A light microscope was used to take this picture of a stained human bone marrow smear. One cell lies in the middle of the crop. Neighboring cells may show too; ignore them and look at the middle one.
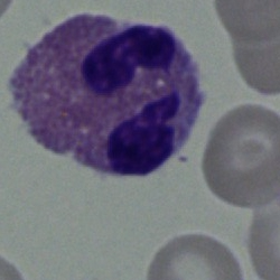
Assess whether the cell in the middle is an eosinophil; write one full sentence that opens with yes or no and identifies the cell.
Yes, the centred cell is categorised as an eosinophil.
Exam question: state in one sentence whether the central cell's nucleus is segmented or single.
If you check the nucleus, you will find it split into two or more lobes.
